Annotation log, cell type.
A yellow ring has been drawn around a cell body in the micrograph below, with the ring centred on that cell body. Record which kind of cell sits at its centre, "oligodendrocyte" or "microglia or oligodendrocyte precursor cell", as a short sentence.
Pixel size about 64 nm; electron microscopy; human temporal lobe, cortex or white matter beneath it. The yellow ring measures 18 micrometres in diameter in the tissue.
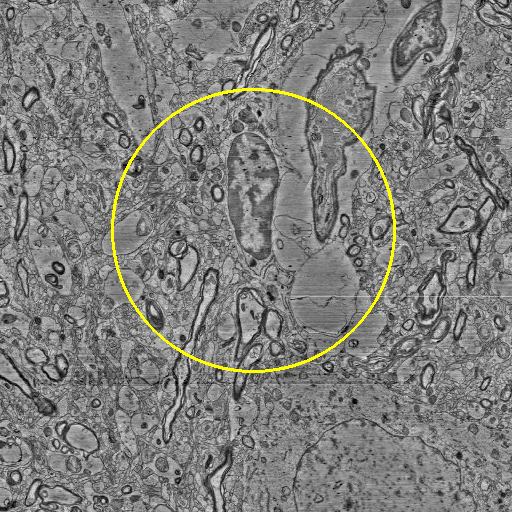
The cell at the centre of this ring is a microglial cell or oligodendrocyte precursor cell.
